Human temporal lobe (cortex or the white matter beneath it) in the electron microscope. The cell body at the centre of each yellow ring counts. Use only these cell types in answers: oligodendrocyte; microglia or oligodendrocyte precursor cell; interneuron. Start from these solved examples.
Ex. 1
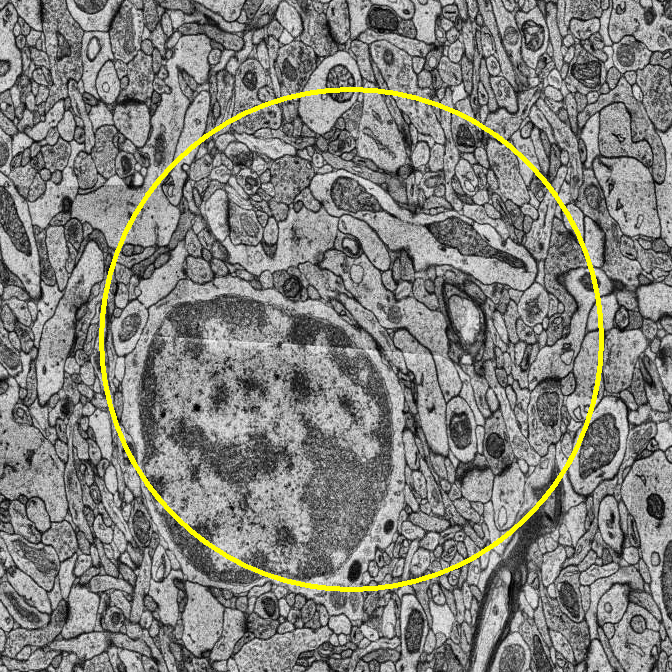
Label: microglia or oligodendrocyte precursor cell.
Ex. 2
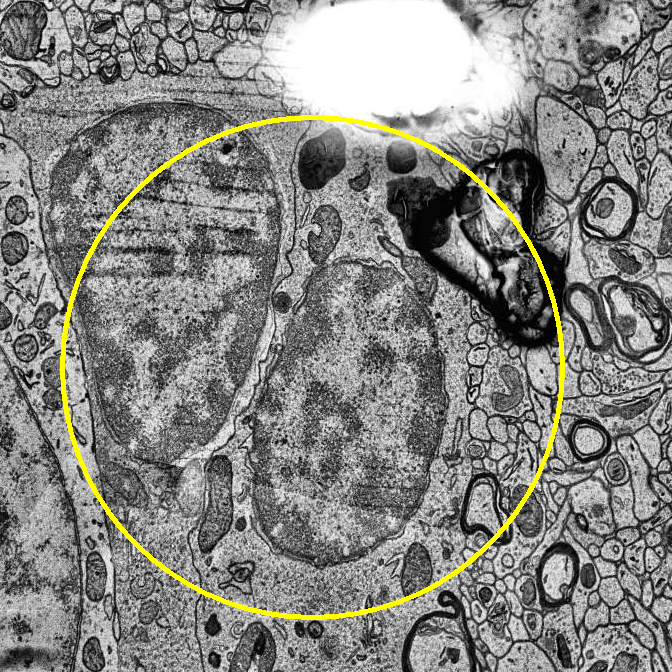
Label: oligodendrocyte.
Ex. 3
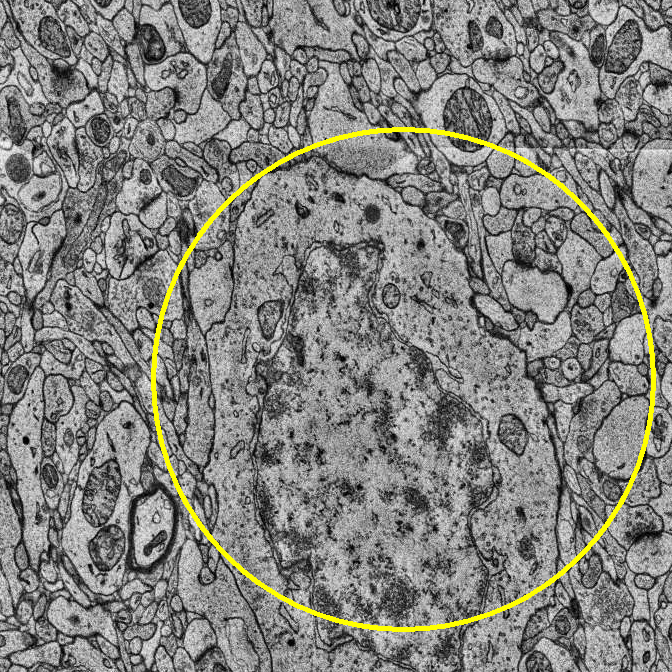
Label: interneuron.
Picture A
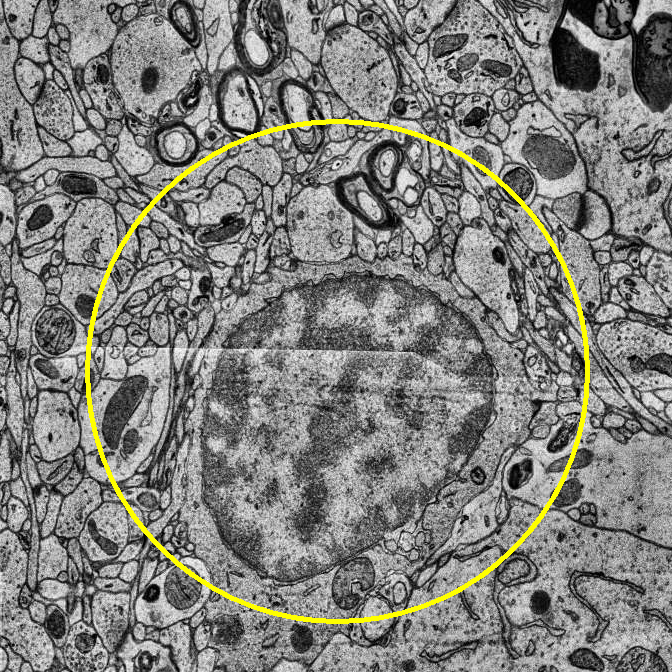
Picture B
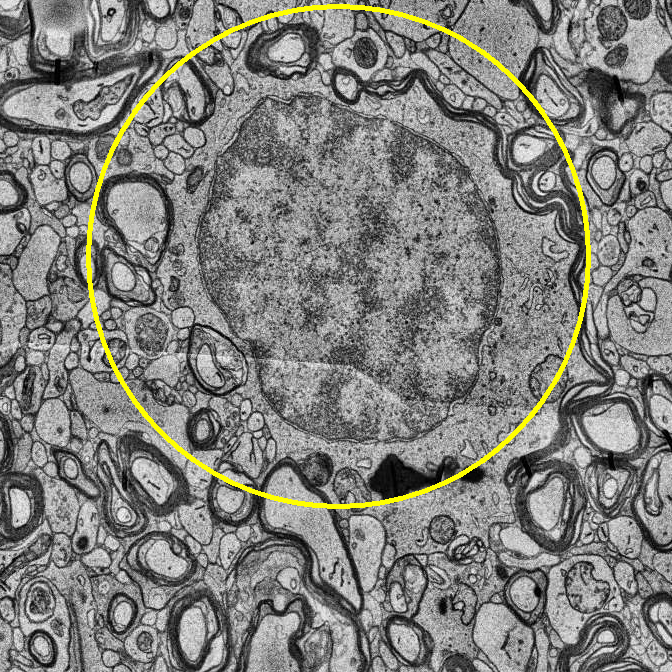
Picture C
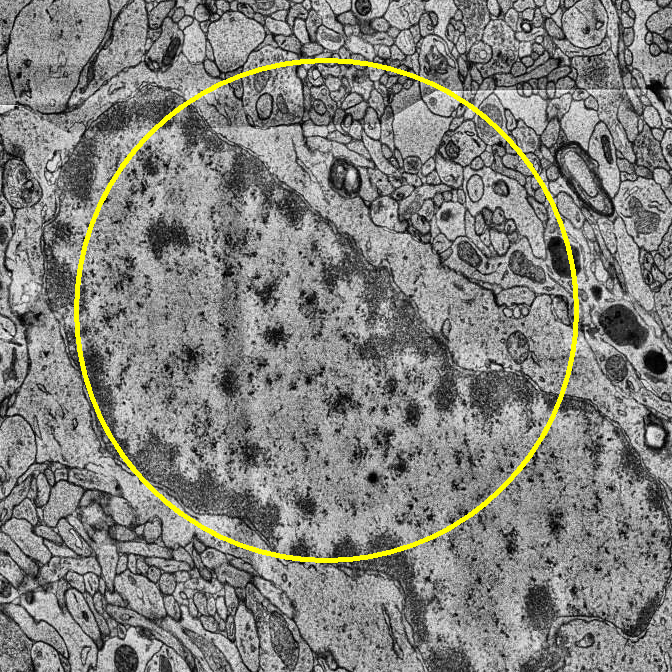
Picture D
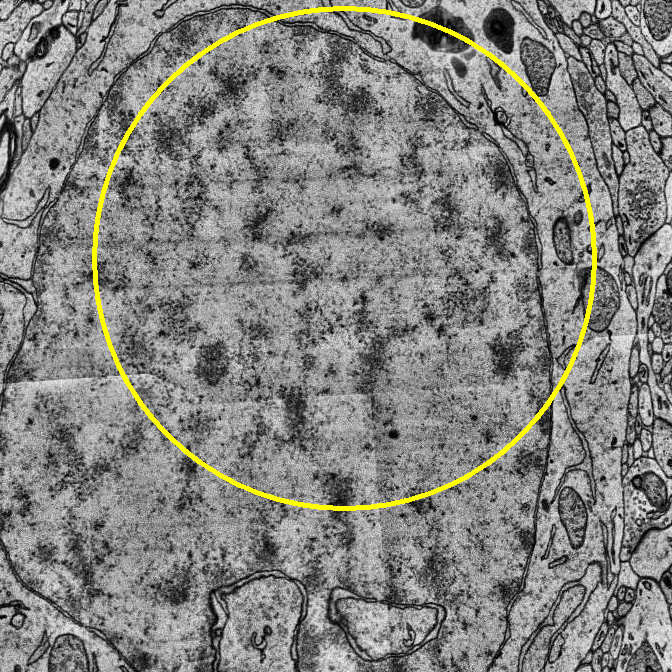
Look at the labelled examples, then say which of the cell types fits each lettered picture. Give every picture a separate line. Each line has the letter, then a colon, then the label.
A: oligodendrocyte.
B: oligodendrocyte.
C: microglia or oligodendrocyte precursor cell.
D: interneuron.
